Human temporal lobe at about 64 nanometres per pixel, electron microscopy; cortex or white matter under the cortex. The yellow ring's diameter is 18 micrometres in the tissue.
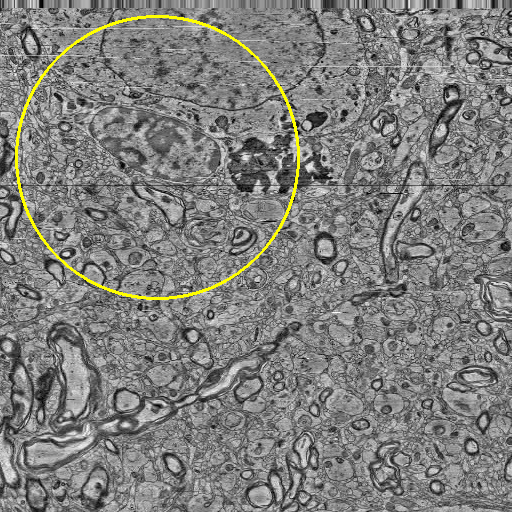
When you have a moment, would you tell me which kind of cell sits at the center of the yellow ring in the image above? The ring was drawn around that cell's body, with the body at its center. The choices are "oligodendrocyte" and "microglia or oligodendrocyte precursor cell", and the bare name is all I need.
microglia or oligodendrocyte precursor cell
